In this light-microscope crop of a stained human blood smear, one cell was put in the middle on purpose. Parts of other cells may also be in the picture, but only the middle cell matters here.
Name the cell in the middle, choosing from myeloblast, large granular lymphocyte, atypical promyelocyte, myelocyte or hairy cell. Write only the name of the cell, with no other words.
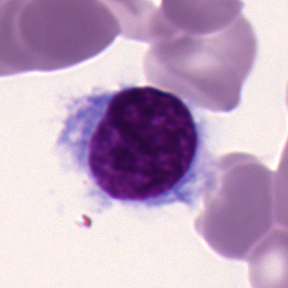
hairy cell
